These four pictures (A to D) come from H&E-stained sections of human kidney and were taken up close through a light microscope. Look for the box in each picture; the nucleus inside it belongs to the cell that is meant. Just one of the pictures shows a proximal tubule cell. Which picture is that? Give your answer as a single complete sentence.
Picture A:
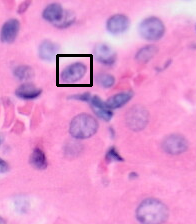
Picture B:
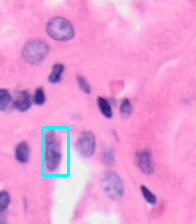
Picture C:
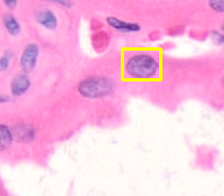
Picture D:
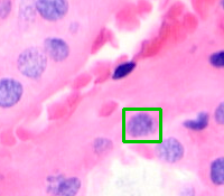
The picture with the proximal tubule cell is C.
